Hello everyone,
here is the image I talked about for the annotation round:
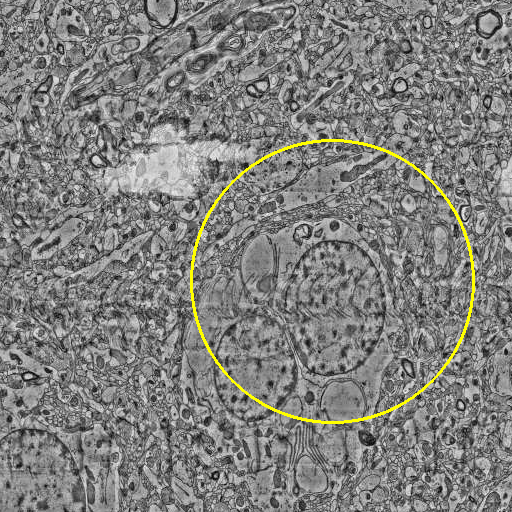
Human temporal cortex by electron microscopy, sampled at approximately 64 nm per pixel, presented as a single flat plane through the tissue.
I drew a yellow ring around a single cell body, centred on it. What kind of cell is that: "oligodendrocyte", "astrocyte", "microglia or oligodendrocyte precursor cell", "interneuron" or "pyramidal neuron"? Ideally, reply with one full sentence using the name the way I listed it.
The cell your yellow ring is centred on is an astrocyte, going by your list.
